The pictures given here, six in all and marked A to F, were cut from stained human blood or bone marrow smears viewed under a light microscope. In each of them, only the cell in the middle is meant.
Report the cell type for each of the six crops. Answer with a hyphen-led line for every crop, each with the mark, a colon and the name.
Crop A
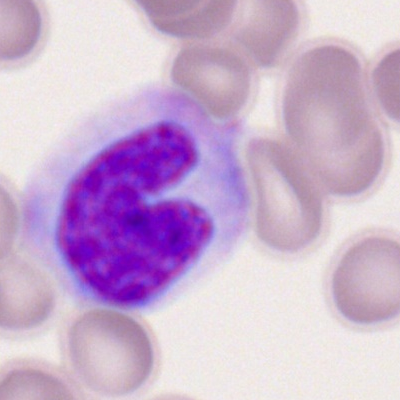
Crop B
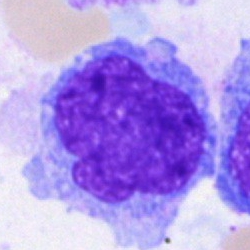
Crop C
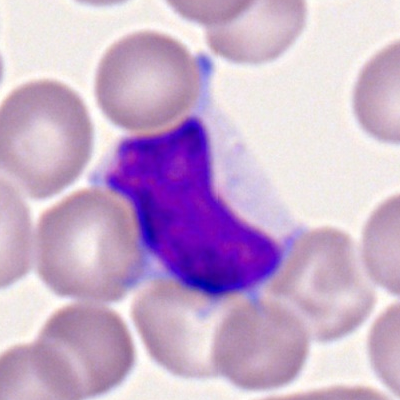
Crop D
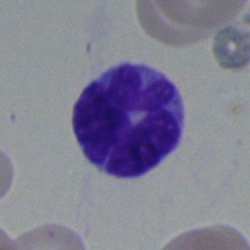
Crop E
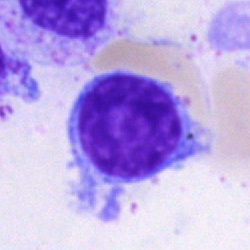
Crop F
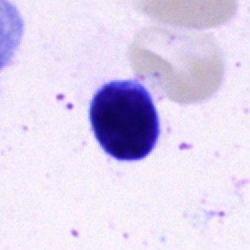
- A: monocyte
- B: monocyte
- C: lymphocyte
- D: monocyte
- E: lymphocyte
- F: lymphocyte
